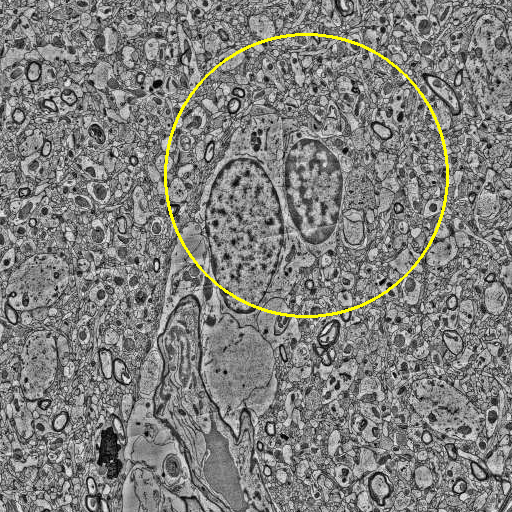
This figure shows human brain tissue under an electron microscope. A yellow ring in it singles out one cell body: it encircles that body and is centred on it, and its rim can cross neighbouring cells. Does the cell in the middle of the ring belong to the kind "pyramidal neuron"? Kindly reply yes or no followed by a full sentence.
No, the cell centred in the figure's ring belongs to a different kind from the one asked.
